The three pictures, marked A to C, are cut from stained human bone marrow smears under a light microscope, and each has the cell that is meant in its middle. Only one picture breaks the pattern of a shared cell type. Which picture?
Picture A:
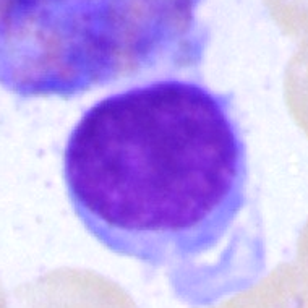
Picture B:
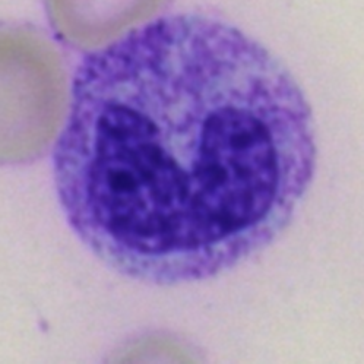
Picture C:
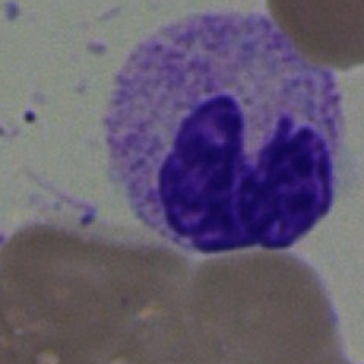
A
